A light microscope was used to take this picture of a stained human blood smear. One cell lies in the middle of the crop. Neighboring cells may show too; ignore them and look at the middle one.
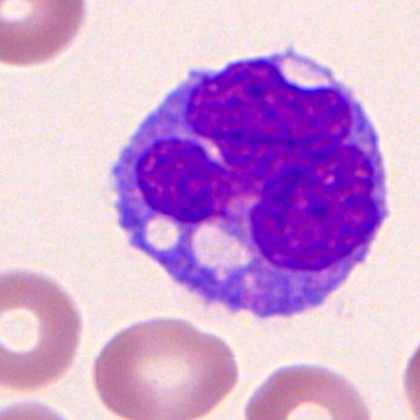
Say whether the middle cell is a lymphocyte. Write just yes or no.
no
